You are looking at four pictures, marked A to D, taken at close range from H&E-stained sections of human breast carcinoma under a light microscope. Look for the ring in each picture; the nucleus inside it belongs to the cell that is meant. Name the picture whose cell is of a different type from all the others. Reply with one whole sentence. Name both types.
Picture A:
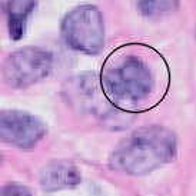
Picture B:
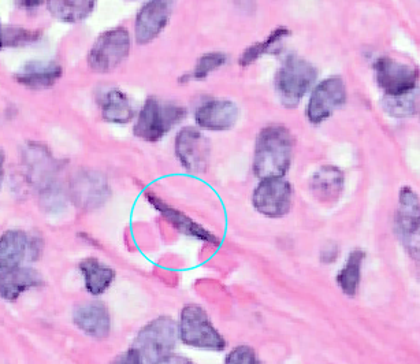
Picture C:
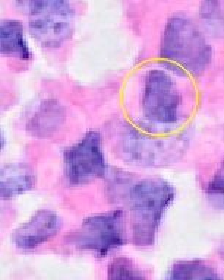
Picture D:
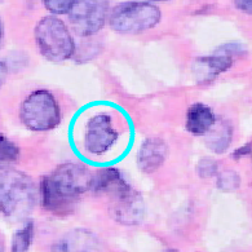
The others show carcinoma cells, but picture B shows an endothelial cell.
